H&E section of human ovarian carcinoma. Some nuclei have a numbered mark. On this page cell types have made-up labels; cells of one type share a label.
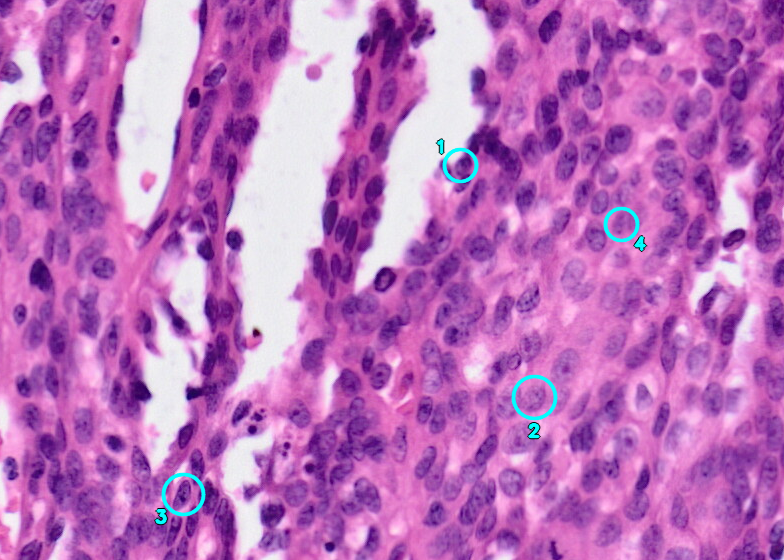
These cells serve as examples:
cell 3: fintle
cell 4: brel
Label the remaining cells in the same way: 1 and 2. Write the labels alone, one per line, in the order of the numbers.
fintle
brel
